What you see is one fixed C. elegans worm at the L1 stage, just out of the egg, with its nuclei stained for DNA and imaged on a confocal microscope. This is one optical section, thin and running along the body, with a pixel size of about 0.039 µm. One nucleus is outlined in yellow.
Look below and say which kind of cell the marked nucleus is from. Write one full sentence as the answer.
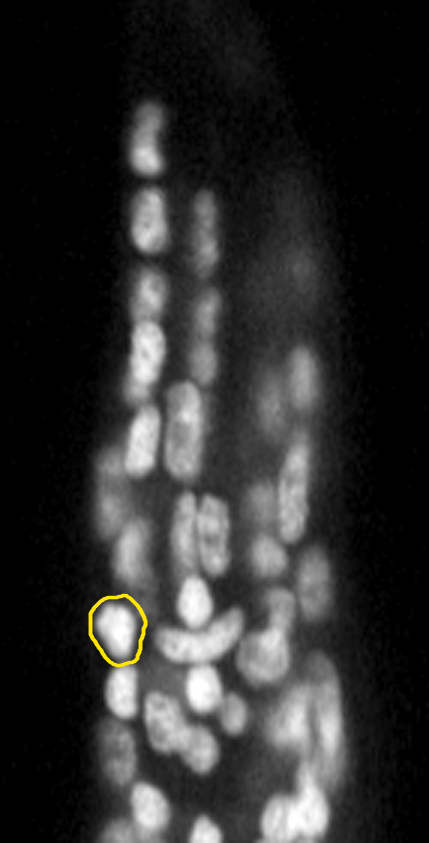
What is marked is the nucleus of a glial cell (sheath or socket).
